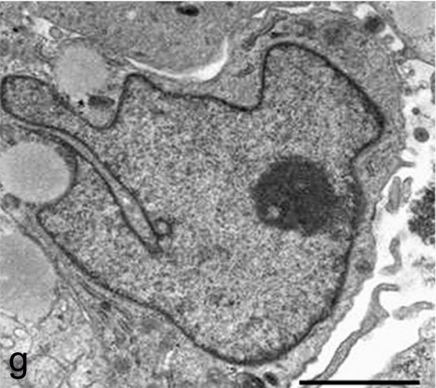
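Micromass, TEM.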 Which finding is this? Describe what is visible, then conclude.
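The nucleus is filled with evenly dispersed fine granular chromatin. No large clumps of condensed chromatin along the nuclear envelope. That points to this answer: Diffuse nuclear chromatin.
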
